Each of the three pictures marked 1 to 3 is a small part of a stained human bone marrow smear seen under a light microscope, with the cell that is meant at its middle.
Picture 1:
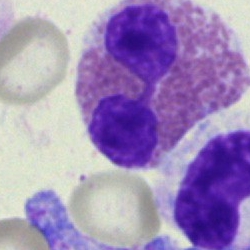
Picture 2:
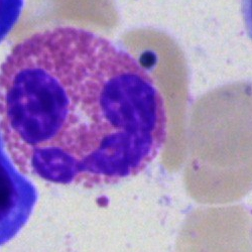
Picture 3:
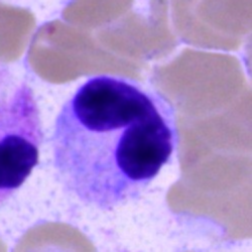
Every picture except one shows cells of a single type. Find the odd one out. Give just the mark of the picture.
3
